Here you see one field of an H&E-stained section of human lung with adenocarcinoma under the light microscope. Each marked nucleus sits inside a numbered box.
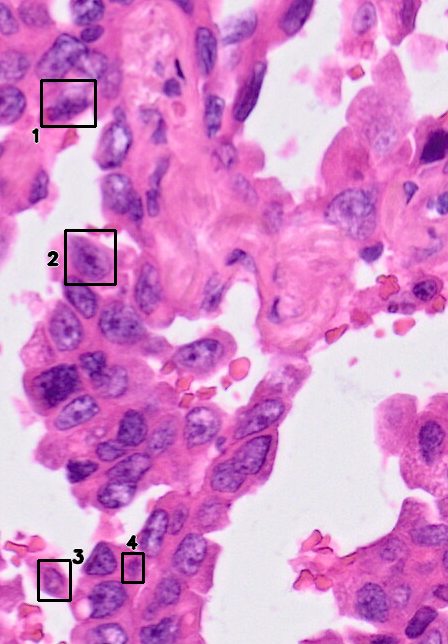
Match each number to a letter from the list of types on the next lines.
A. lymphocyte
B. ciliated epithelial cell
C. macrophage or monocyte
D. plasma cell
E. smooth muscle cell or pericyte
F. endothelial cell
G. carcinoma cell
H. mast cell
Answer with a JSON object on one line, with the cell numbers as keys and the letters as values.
{"1": "G", "2": "G", "3": "C", "4": "G"}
